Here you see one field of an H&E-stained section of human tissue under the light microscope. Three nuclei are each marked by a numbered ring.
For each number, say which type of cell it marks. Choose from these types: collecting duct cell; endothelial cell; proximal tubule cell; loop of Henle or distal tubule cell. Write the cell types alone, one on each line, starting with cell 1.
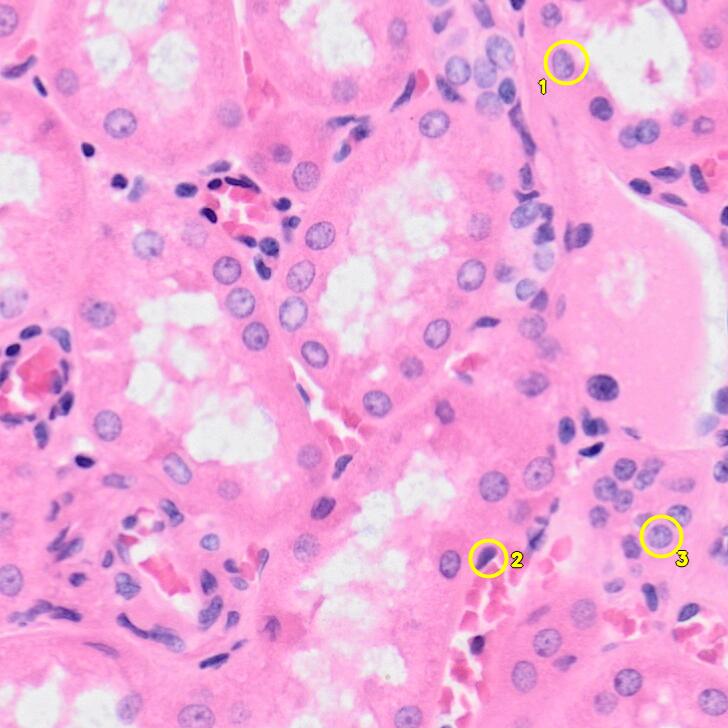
loop of Henle or distal tubule cell
endothelial cell
collecting duct cell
